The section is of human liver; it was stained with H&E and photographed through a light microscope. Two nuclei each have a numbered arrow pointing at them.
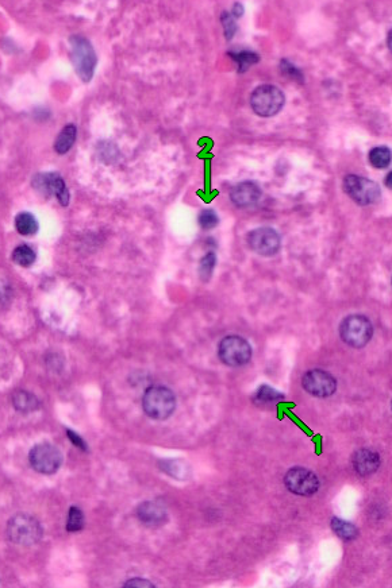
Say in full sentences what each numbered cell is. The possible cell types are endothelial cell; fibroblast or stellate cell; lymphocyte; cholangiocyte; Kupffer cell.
Cell 1 is an endothelial cell. Cell 2 is a lymphocyte.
